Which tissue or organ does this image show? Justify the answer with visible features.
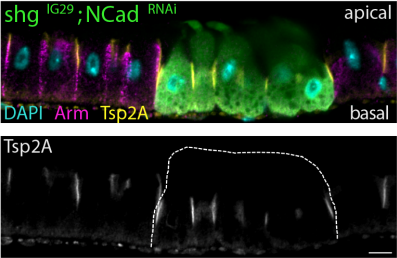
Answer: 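A single layer of columnar cells rests on a continuous basal line. Yellow and magenta lines run along the lateral borders between neighbouring cells. The answer: midgut epithelium.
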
